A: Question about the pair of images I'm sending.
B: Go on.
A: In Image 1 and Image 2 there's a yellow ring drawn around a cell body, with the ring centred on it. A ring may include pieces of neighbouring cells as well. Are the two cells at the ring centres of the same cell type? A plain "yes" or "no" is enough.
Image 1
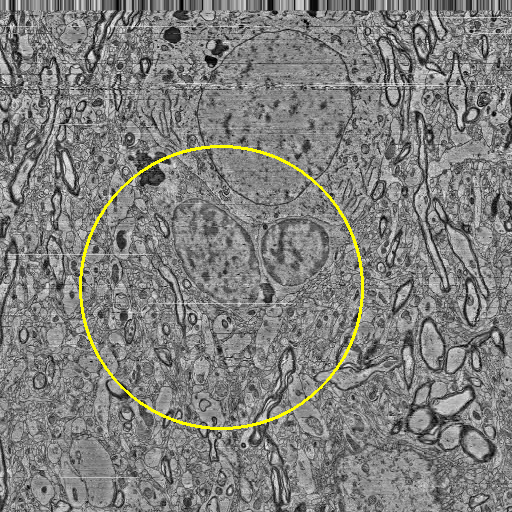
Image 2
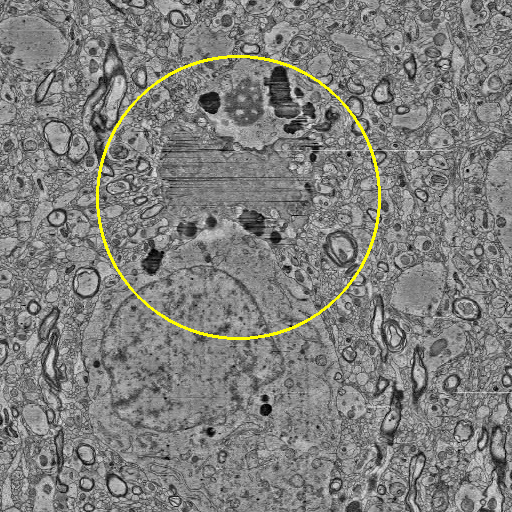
no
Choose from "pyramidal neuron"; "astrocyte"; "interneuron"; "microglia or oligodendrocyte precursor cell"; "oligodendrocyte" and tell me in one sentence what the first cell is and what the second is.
What the first ring is centred on is an oligodendrocyte; what the second ring is centred on is an interneuron.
